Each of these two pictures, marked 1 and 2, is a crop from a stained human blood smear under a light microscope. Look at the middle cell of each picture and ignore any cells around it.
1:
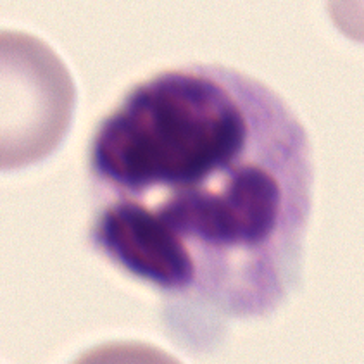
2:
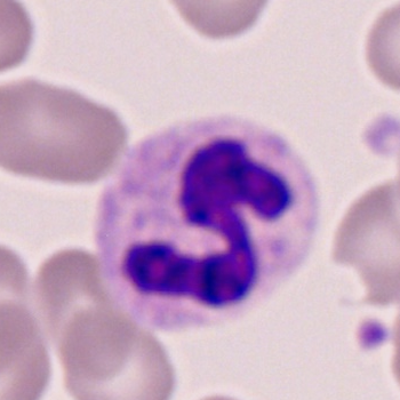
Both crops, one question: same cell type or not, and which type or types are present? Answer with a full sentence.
Yes, neutrophils are centred in both crops.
